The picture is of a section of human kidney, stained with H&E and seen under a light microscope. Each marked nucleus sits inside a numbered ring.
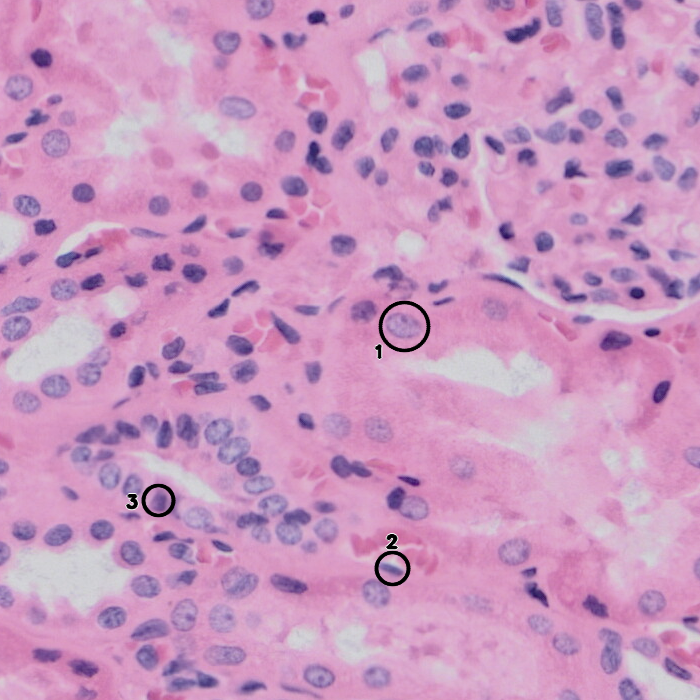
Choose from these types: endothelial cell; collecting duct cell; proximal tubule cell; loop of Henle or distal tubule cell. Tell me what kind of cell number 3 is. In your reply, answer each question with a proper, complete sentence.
Cell 3 should be recorded as a collecting duct cell.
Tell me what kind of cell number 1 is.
Classified as a proximal tubule cell is the cell with the number 1.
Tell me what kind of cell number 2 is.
The cell that goes by number 2 is an endothelial cell.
